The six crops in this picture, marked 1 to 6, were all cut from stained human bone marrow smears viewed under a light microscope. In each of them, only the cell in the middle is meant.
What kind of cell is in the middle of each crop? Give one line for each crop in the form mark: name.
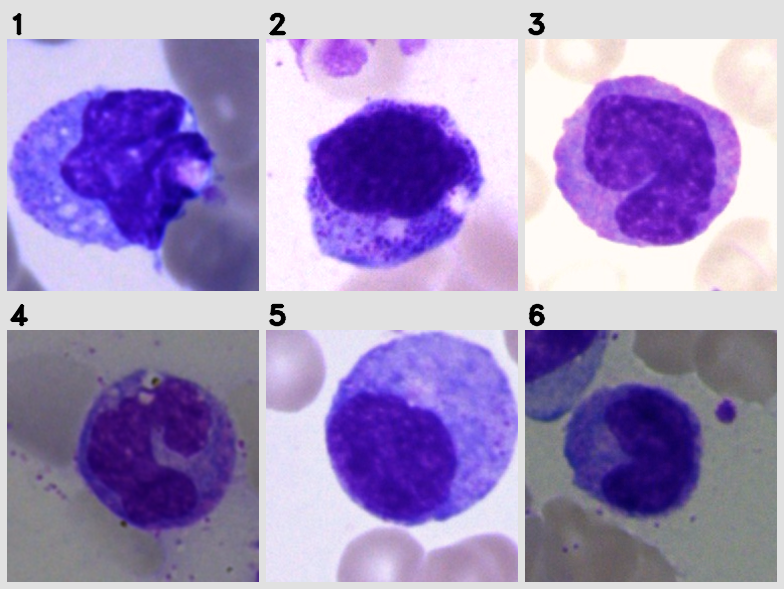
1: monocyte
2: promyelocyte
3: monocyte
4: monocyte
5: promyelocyte
6: monocyte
